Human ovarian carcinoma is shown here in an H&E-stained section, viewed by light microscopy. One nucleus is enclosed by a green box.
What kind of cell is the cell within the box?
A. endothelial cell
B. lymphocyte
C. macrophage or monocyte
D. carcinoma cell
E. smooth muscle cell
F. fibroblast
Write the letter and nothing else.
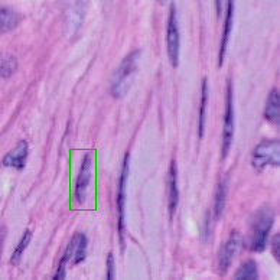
F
